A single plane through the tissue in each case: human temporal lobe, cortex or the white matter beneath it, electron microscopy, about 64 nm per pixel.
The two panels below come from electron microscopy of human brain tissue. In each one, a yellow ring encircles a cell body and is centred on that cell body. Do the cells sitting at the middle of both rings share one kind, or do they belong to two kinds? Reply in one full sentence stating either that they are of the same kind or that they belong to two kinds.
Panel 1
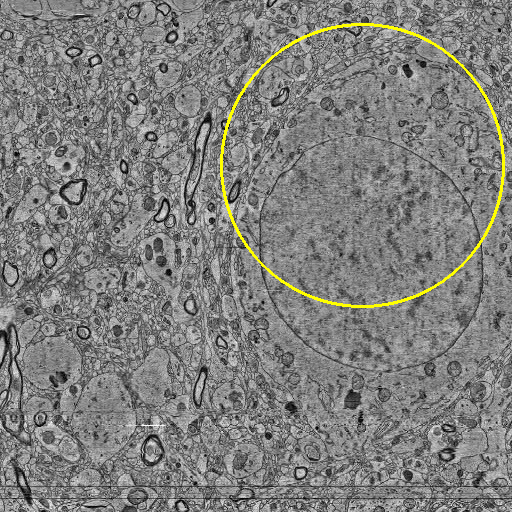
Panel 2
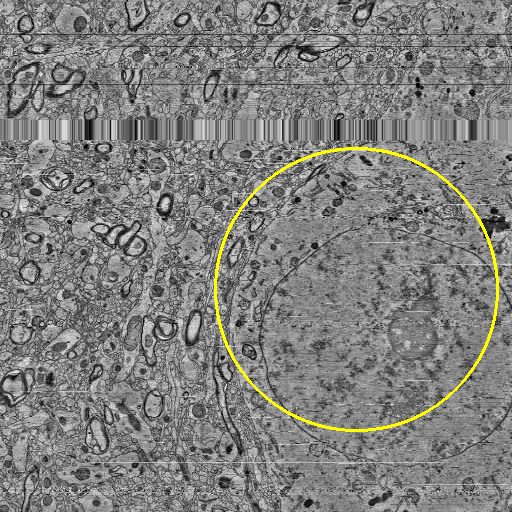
The cells at the centres of the two rings are of the same kind.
